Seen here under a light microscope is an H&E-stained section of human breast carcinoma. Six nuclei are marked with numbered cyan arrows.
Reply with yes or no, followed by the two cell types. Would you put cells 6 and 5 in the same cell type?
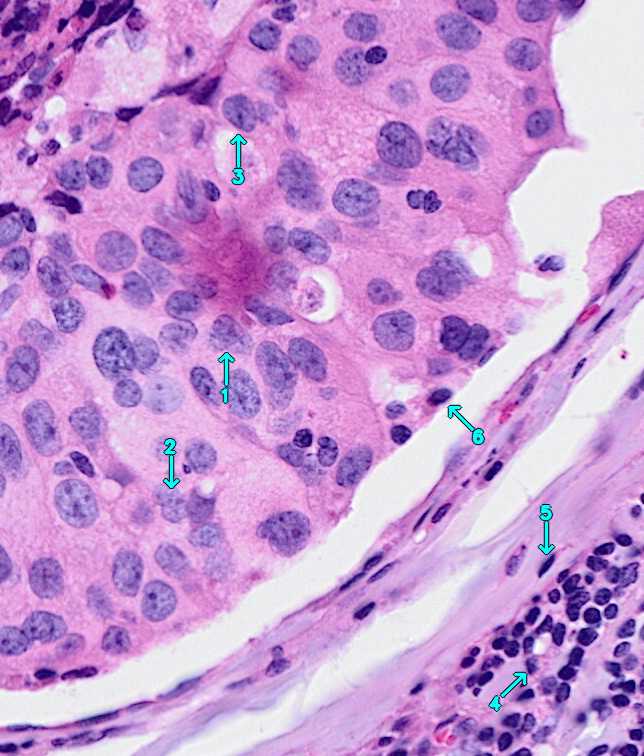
Yes, by their numbers, cells 6 and 5 are both lymphocytes.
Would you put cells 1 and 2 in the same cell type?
Yes, cell 1 is counted among the carcinoma cells, as is cell 2.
